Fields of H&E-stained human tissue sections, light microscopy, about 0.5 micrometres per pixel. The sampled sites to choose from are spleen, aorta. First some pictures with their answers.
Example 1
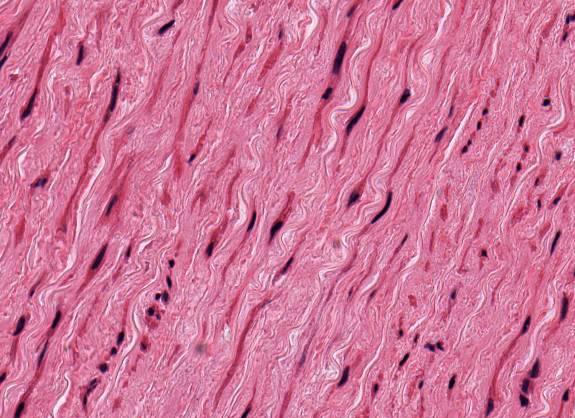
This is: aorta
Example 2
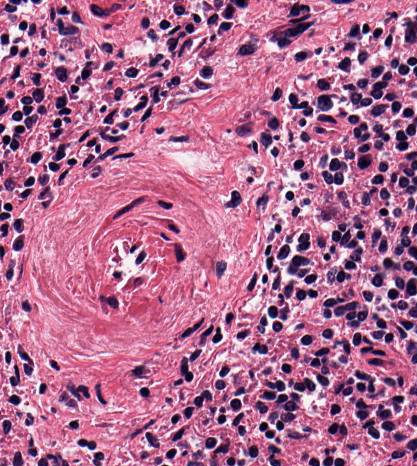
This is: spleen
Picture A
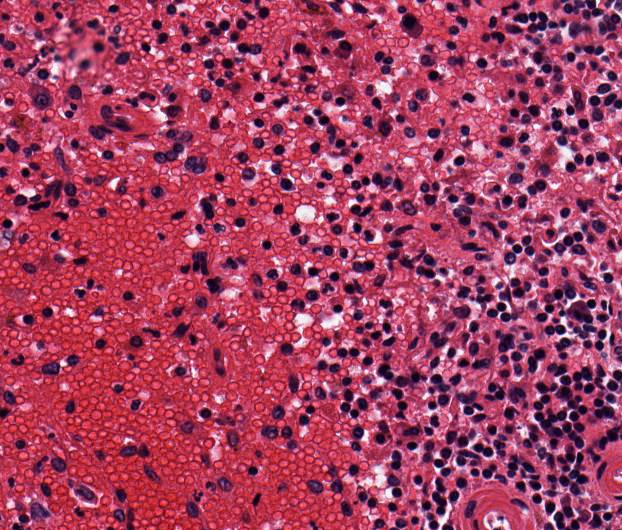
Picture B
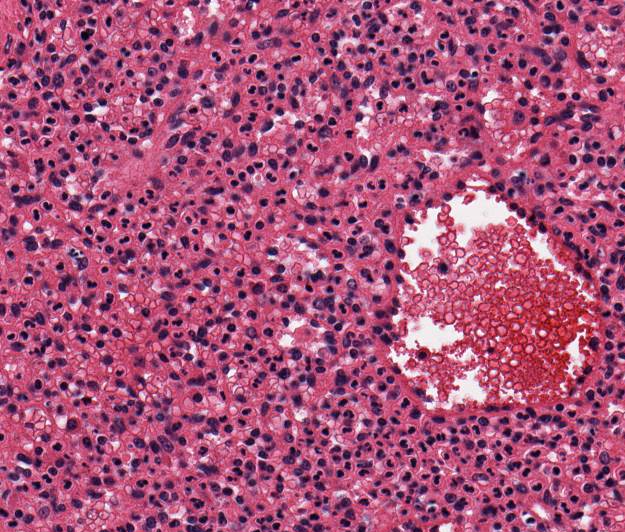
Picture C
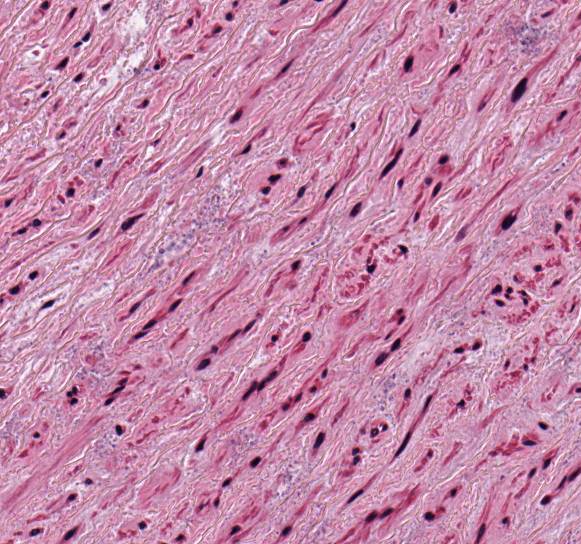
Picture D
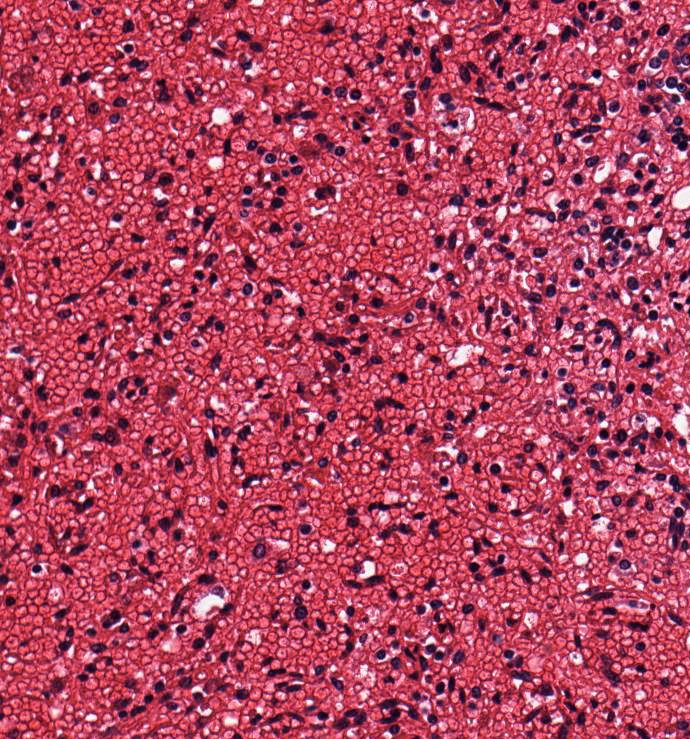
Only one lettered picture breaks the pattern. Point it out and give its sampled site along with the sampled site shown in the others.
Odd one out: C (aorta). The rest: spleen.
